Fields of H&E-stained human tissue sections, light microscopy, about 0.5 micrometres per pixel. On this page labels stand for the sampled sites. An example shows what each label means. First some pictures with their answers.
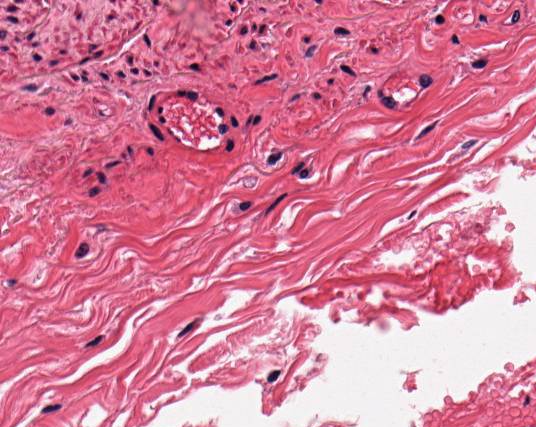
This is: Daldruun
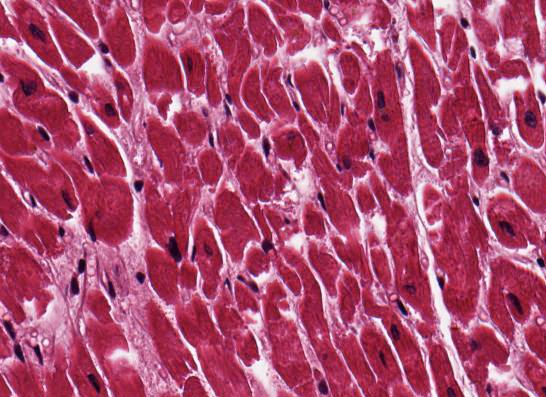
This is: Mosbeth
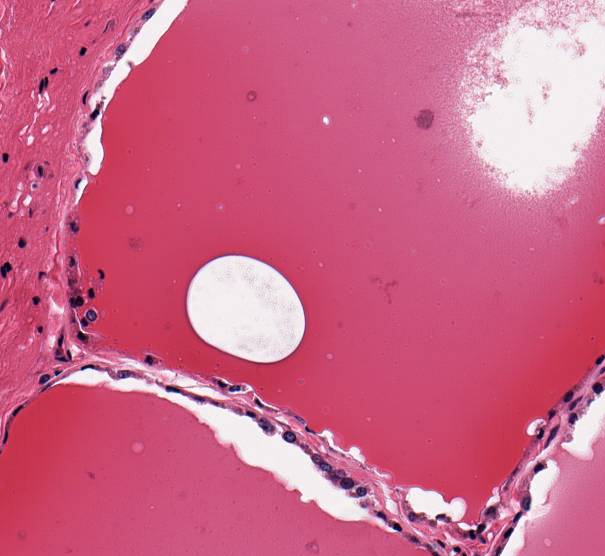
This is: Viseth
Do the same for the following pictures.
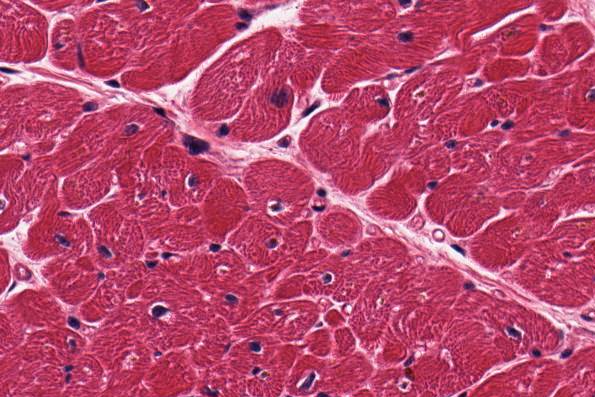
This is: Mosbeth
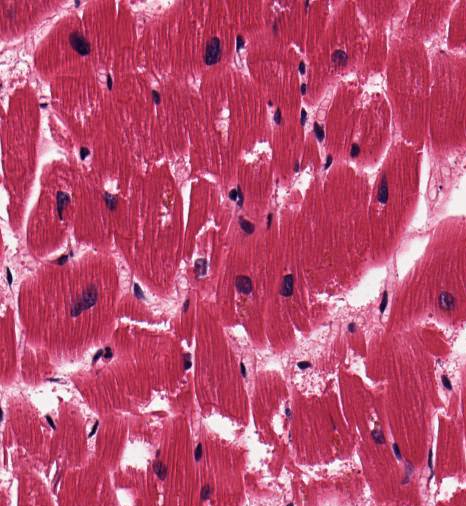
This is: Mosbeth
